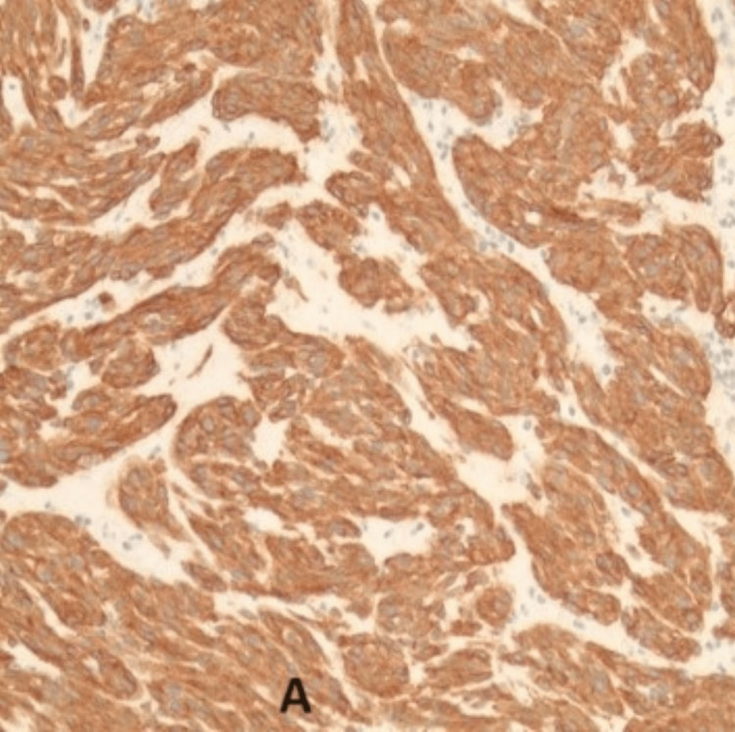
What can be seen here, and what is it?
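This is a tumour built of elongated to oval cells that lie in interlacing bundles and nests, nearly all strongly stained brown throughout their cytoplasm. The bundles are separated by pale, loose stroma in which only scattered small bluish nuclei of unstained cells lie. Within the brown cells the oval nuclei show as pale grey-blue areas, and cell borders are faintly outlined by slightly darker brown. The bundles run in different directions, giving a fascicular, lobulated pattern.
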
